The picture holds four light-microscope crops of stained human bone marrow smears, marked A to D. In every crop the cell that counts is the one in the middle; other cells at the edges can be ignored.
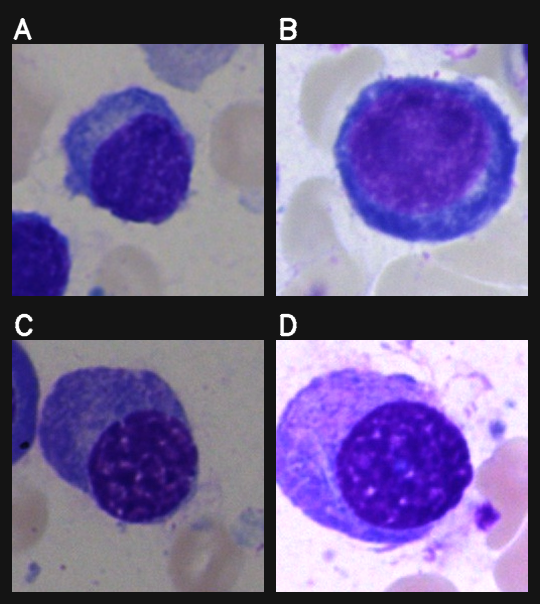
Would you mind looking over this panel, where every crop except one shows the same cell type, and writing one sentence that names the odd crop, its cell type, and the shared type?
While crop B shows a proerythroblast, the other crops all show plasma cells.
